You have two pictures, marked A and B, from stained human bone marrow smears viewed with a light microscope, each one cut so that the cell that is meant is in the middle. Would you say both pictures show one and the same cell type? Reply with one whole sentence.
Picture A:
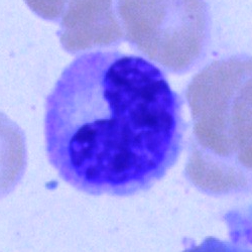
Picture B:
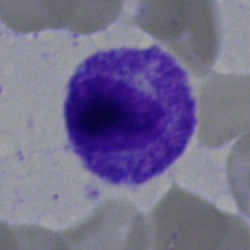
No, they differ: the cell is a metamyelocyte in picture A and a myelocyte in picture B.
